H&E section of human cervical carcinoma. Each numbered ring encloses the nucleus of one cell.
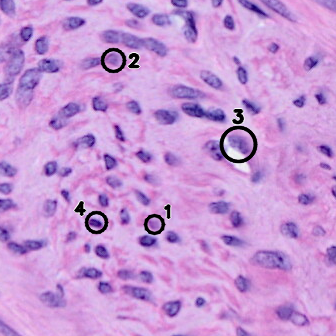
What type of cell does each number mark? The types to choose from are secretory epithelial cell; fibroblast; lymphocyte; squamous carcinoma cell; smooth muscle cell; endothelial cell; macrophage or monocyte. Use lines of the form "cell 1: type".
cell 1: smooth muscle cell
cell 2: smooth muscle cell
cell 3: endothelial cell
cell 4: smooth muscle cell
